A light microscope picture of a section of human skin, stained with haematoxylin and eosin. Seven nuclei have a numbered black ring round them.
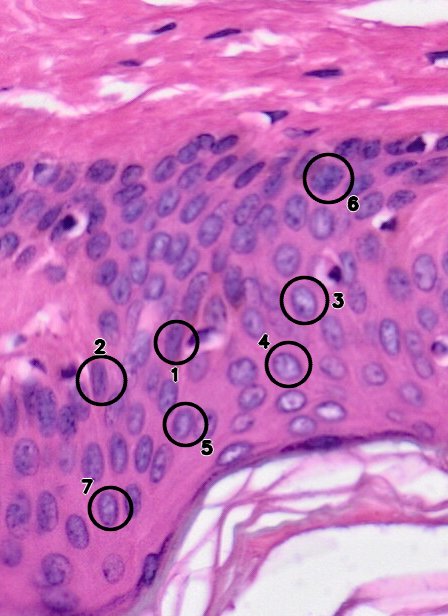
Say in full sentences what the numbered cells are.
Cells 1, 2 and 6 are basal keratinocytes. Cells 3, 4, 5 and 7 are suprabasal keratinocytes.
